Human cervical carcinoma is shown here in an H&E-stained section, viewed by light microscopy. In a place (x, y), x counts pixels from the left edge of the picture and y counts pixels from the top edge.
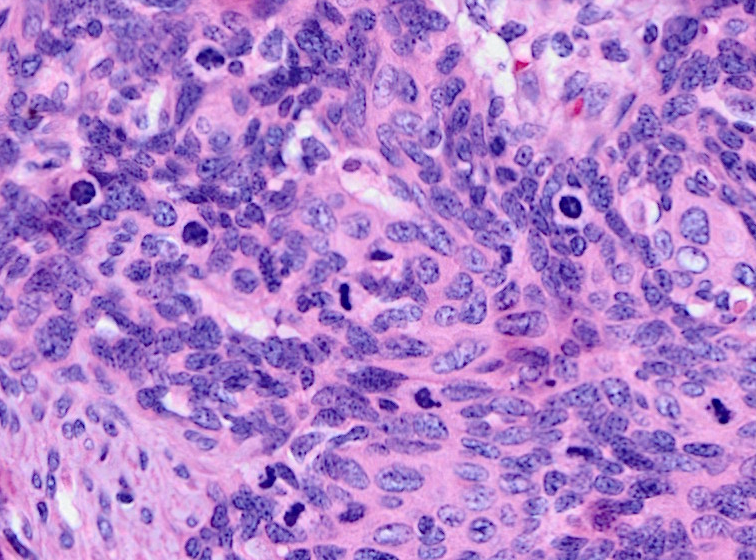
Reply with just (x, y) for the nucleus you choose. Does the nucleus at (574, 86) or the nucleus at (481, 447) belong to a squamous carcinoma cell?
(481, 447)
